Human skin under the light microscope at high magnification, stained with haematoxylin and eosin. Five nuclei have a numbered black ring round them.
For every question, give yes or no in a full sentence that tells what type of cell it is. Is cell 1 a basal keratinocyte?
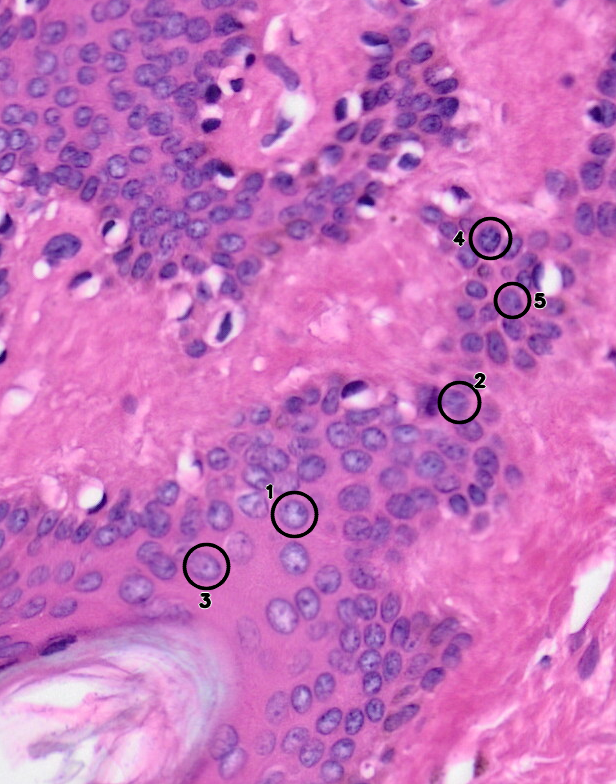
No, the nucleus numbered 1 belongs to a suprabasal keratinocyte, not a basal keratinocyte.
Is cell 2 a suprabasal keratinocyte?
No, the cell tagged 2 is a basal keratinocyte, not a suprabasal keratinocyte.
